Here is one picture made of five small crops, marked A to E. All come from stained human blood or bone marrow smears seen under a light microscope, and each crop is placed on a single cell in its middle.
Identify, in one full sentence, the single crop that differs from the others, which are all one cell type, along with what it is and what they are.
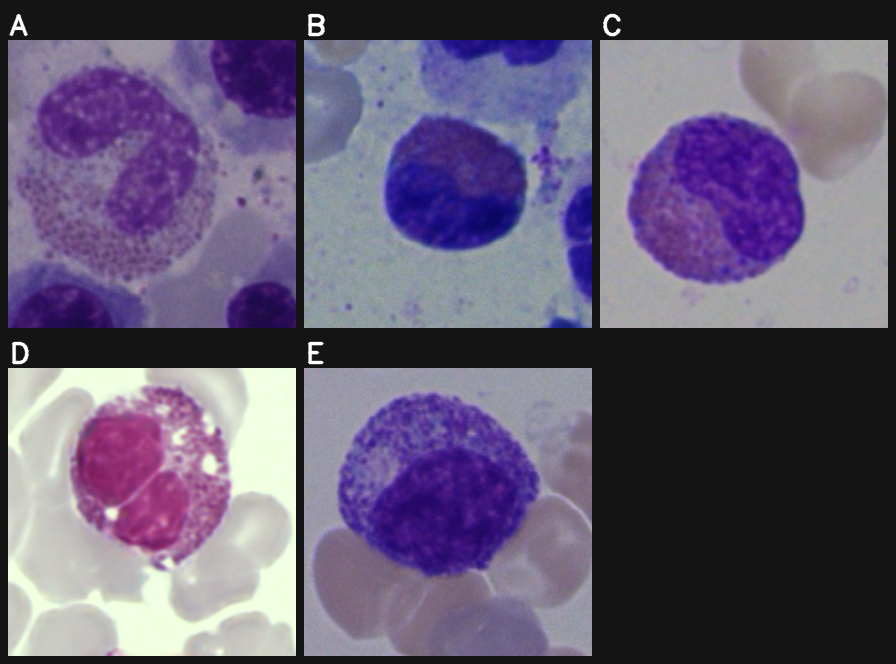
Crop E contains a myelocyte, setting it apart from the other crops, which all contain eosinophils.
